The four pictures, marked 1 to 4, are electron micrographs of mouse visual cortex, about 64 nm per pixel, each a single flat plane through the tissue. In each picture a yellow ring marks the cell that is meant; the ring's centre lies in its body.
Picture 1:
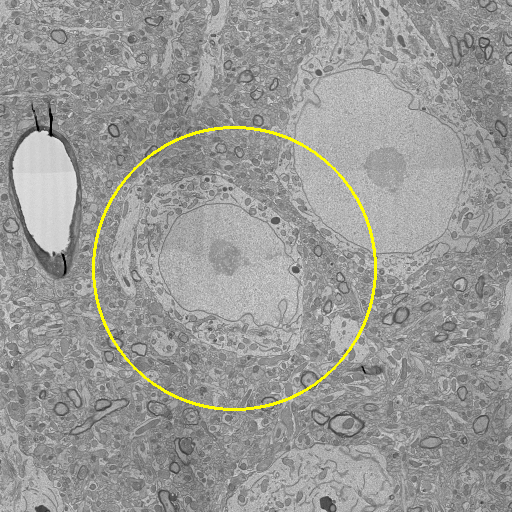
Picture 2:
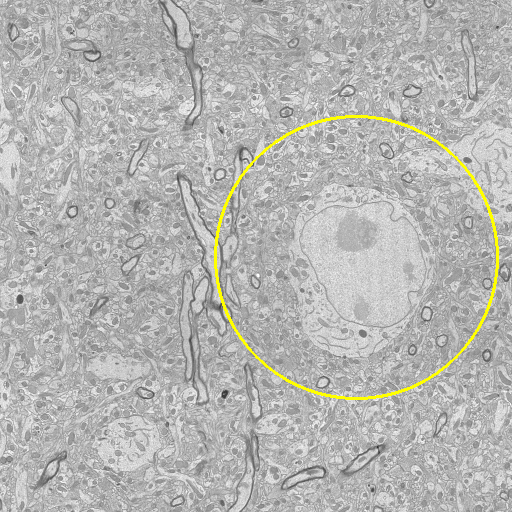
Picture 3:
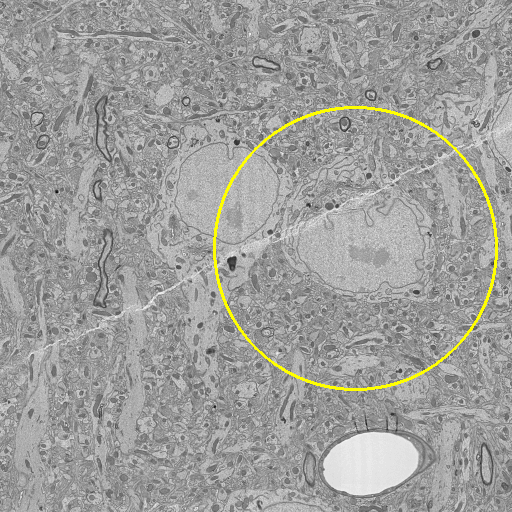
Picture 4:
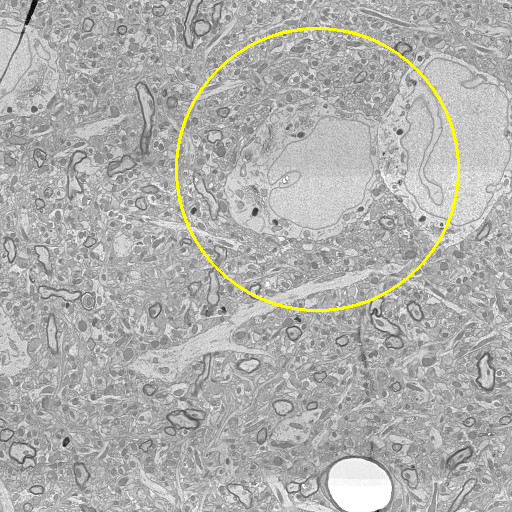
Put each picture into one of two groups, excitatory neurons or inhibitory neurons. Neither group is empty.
Pictures 2 and 4 show excitatory neurons, and pictures 1 and 3 show inhibitory neurons.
